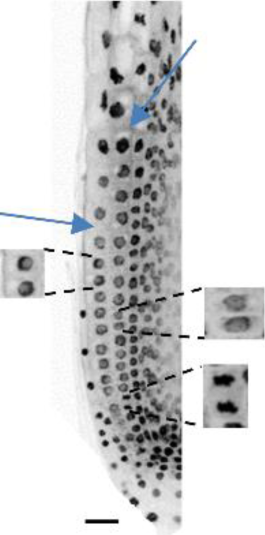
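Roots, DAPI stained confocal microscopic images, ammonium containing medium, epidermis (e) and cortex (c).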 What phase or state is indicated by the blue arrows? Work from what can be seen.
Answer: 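The arrows point at cells in the upper part of the cell files. Above the arrowed cells the cells are longer and their nuclei are spaced further apart. Below the arrowed cells the nuclei are small and closely packed. That points to this answer: the first elongating cells.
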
